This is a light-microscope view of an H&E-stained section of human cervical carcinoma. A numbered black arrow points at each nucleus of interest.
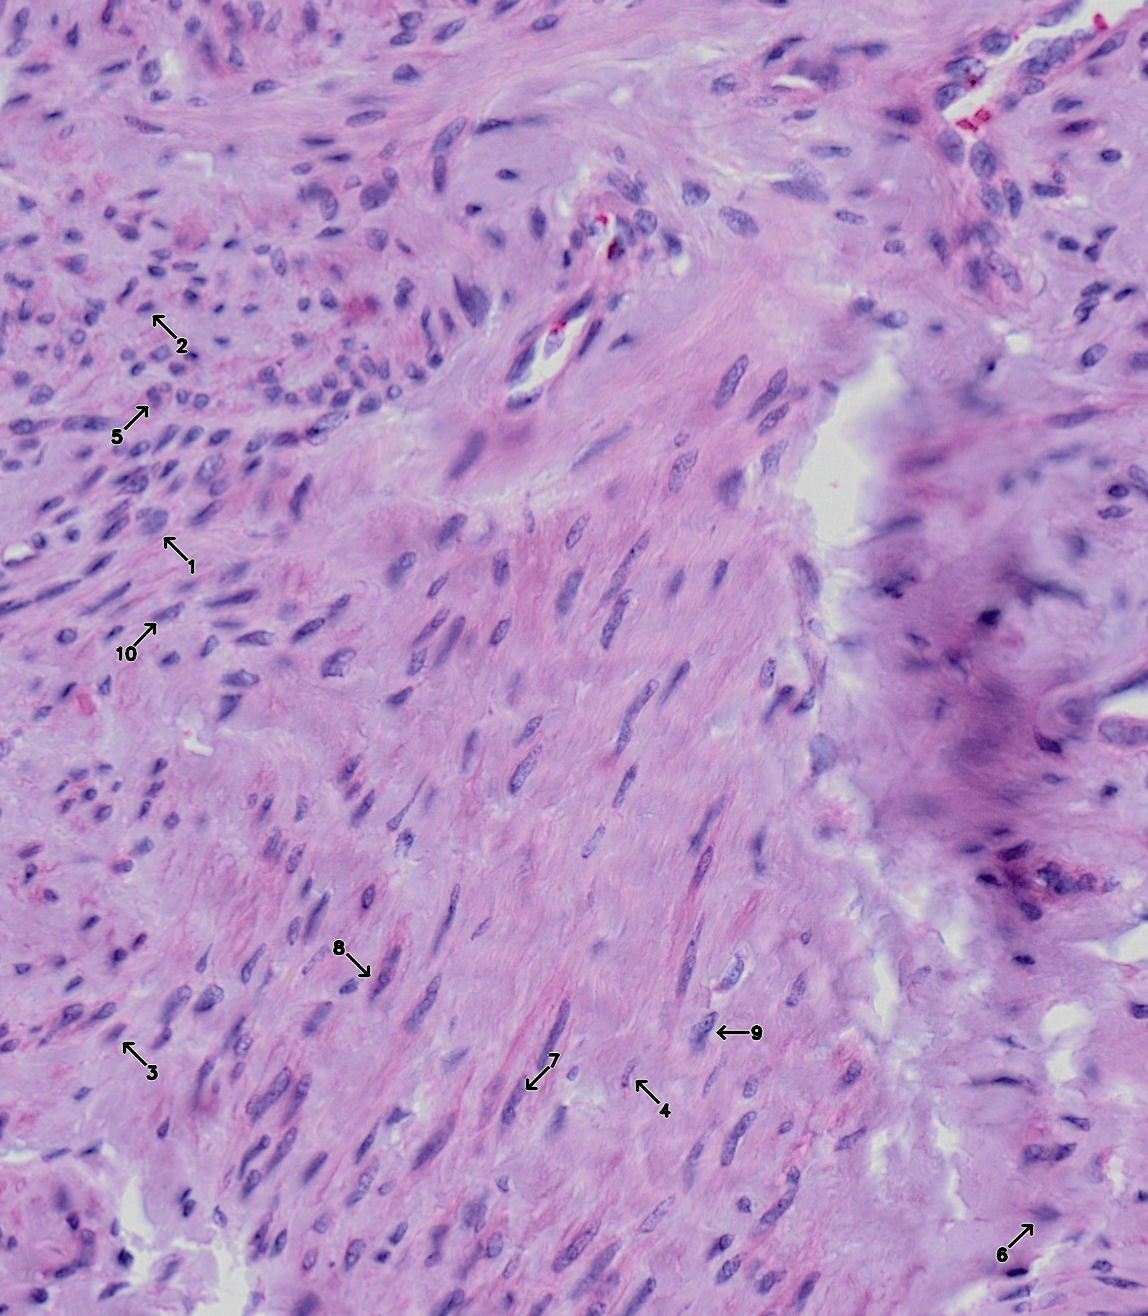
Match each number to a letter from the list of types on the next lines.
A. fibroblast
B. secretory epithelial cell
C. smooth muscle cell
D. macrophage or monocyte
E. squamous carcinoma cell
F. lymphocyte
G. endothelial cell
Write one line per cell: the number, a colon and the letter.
1: A
2: C
3: C
4: A
5: C
6: A
7: C
8: C
9: A
10: C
